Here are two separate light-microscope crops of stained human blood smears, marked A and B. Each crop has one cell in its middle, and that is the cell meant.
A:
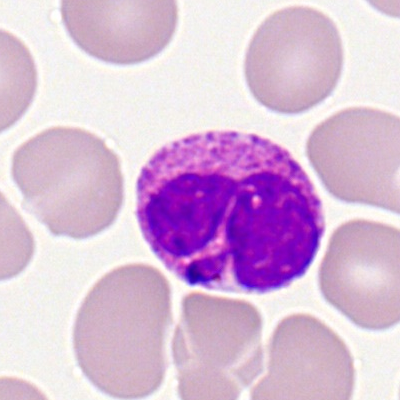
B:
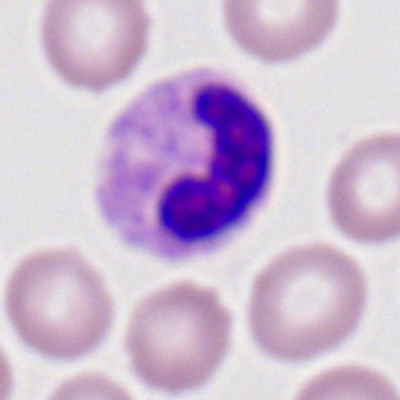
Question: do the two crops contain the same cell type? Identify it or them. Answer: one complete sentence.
No, crop A is of an eosinophil, and crop B is of a band neutrophil.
